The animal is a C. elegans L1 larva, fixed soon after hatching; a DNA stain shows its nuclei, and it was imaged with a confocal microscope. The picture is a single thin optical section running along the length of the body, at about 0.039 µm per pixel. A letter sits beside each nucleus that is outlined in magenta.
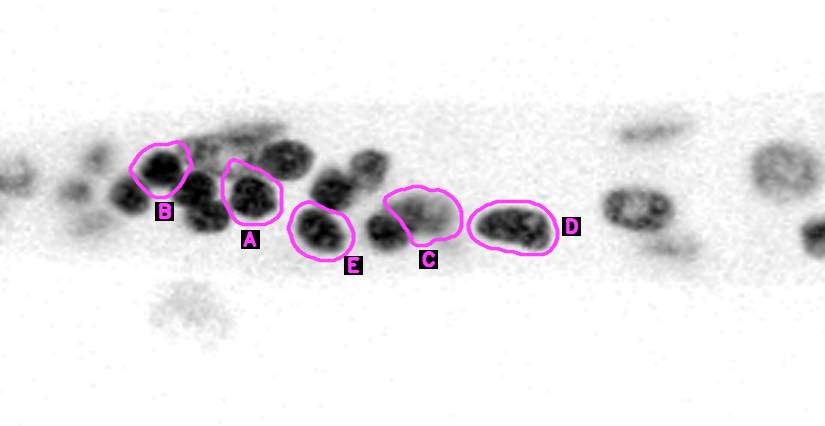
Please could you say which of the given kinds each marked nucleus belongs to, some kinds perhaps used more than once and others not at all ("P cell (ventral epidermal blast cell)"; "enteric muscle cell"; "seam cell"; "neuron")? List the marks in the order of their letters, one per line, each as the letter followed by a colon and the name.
A: neuron
B: neuron
C: P cell (ventral epidermal blast cell)
D: enteric muscle cell
E: neuron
